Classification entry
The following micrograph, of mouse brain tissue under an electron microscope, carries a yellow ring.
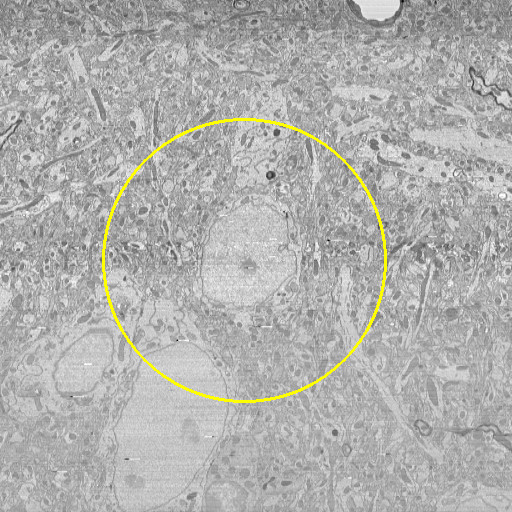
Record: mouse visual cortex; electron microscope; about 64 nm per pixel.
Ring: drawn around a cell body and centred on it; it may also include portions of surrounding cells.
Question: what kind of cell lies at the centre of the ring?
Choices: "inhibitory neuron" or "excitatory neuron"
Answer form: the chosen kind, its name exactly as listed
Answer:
inhibitory neuron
